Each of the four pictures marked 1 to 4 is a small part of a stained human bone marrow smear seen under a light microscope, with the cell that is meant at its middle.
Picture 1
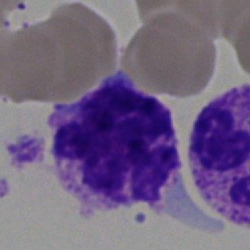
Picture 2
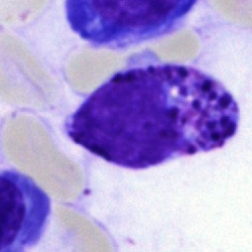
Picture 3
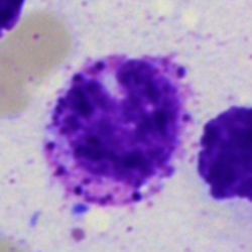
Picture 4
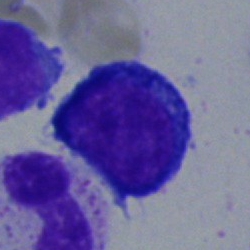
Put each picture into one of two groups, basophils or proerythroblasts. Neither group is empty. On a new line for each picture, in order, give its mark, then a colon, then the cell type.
1: basophil
2: basophil
3: basophil
4: proerythroblast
